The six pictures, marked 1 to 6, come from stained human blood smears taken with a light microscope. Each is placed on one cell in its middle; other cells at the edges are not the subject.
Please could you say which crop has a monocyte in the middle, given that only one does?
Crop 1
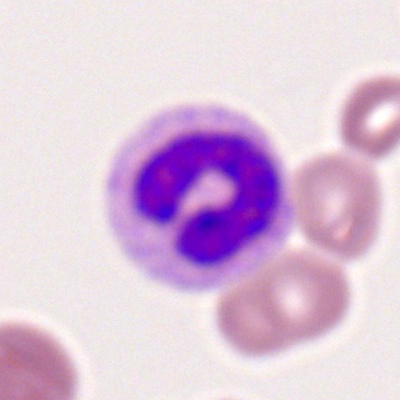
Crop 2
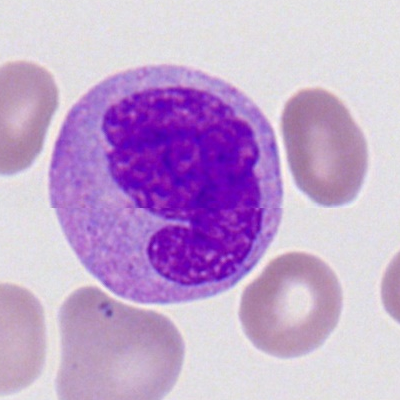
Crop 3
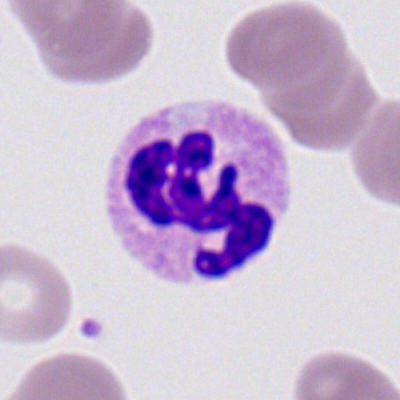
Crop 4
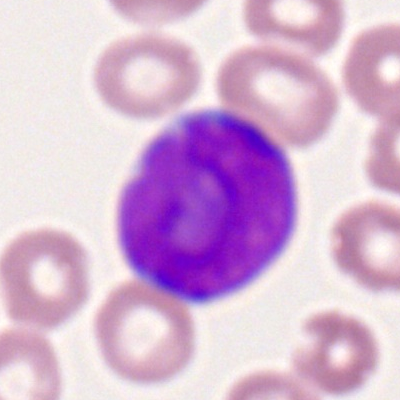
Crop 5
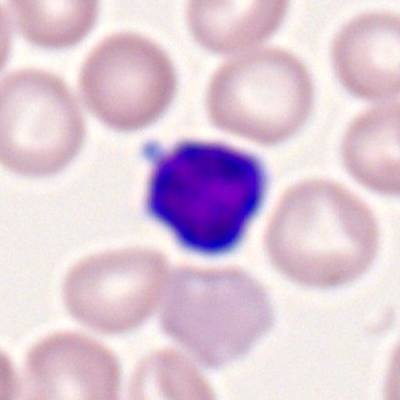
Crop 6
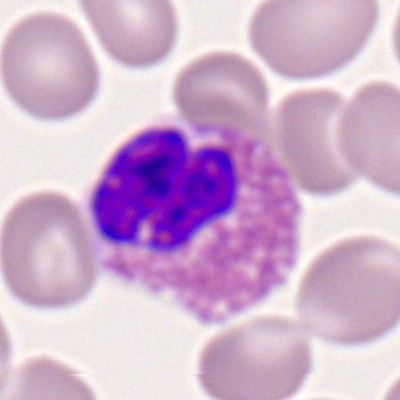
2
